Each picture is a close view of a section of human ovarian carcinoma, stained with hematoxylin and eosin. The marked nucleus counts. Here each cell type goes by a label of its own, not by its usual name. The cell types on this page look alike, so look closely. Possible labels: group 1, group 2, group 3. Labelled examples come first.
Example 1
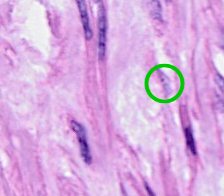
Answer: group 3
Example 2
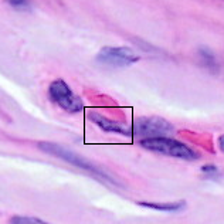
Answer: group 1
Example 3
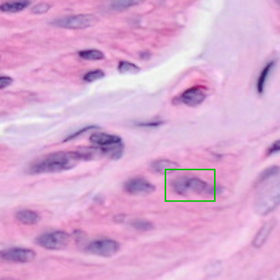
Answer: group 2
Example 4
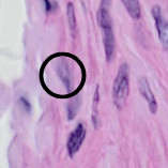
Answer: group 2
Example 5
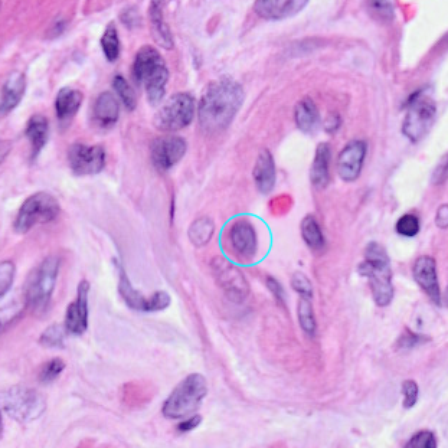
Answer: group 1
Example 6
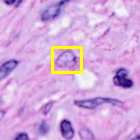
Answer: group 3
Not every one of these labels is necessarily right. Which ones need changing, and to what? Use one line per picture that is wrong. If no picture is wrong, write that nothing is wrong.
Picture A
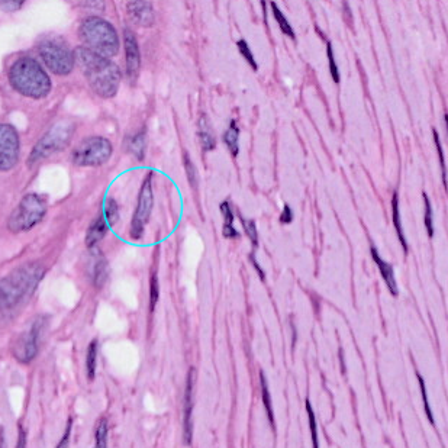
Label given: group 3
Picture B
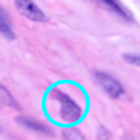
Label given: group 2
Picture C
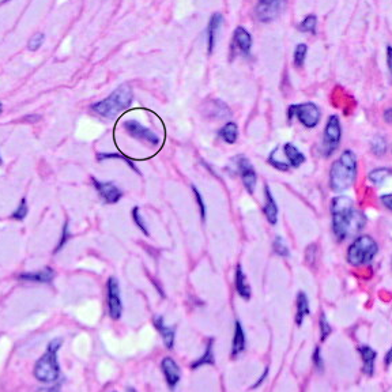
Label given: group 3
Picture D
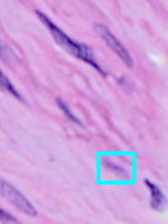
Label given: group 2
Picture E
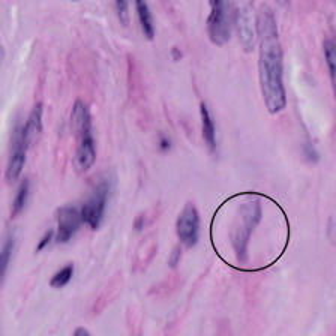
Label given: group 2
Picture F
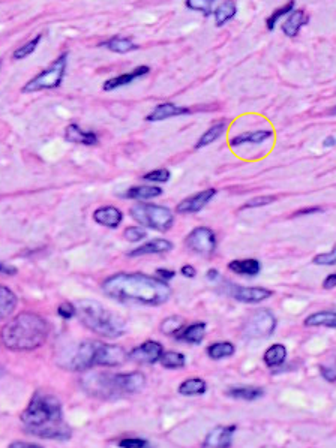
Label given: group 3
All labels are correct.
